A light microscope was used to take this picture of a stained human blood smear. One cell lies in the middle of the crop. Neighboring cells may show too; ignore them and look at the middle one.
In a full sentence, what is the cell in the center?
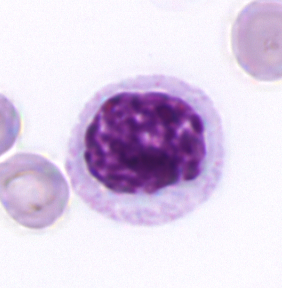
This crop is built around a metamyelocyte at its centre.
